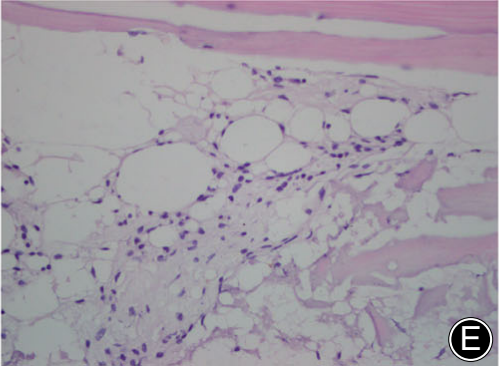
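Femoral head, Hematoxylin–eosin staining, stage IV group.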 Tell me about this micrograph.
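A long, narrow band of pink bone runs along the top, and smaller pink bone fragments lie at the right and bottom. The marrow between them holds clear, round fat vacuoles of varying size. Many small dark purple nuclei, oval to elongated, crowd the loose, pale stroma between the vacuoles, especially in the middle and lower left. The stroma looks frayed and wispy rather than compact.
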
